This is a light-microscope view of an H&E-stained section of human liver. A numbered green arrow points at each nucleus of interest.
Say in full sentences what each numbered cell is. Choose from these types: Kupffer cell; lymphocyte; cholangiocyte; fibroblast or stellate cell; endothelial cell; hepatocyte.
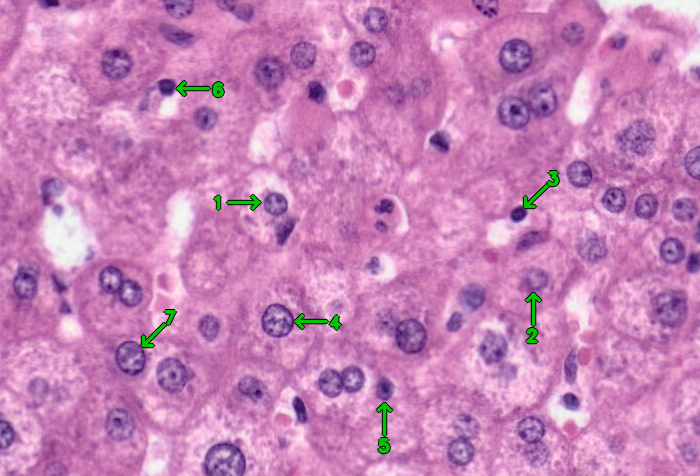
Cells 1, 2, 4 and 7 are hepatocytes. Cells 3 and 6 are lymphocytes. Cell 5 is an endothelial cell.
